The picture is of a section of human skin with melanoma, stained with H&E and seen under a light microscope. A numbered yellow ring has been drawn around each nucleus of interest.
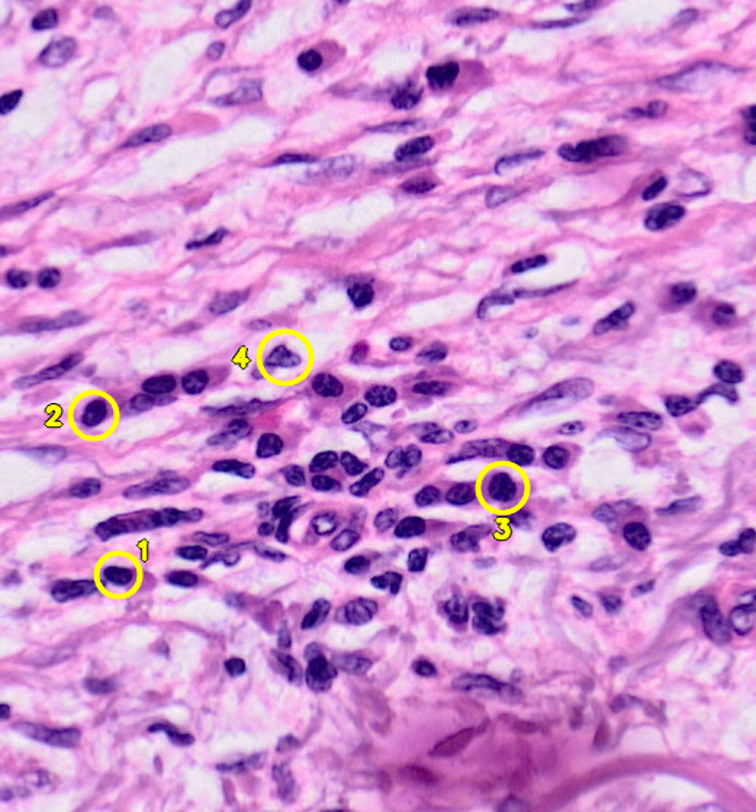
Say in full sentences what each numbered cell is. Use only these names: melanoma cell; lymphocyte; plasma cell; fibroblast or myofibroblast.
Cell 1 is a plasma cell, cell 2 is a plasma cell, cell 3 is a plasma cell and cell 4 is a lymphocyte.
